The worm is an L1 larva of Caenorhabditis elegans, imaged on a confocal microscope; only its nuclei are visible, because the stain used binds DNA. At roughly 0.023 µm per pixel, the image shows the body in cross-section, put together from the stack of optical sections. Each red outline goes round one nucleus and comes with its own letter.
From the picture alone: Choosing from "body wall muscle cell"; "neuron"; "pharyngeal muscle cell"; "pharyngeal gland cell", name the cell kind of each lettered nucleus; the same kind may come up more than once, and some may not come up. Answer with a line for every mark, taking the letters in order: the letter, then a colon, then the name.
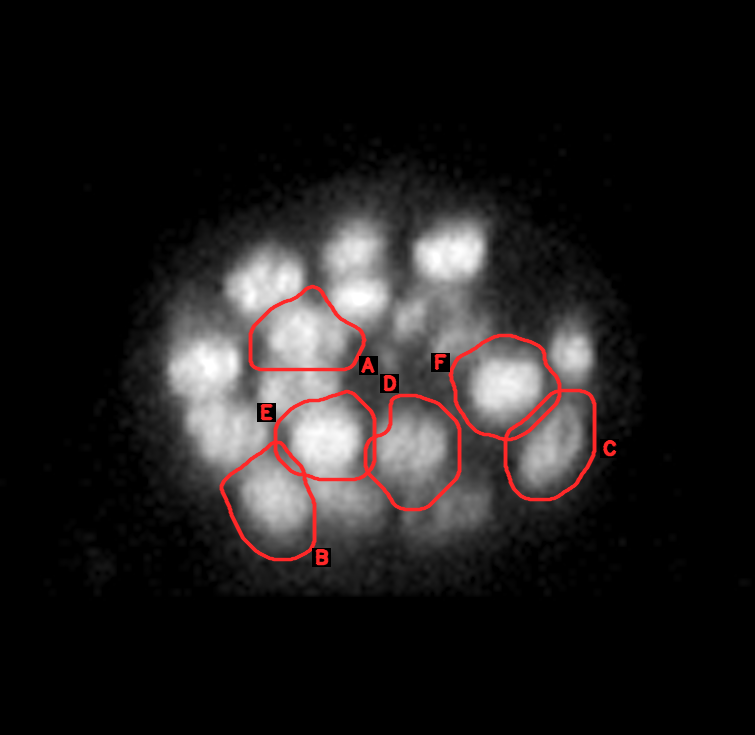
A: pharyngeal muscle cell
B: neuron
C: body wall muscle cell
D: pharyngeal gland cell
E: neuron
F: neuron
